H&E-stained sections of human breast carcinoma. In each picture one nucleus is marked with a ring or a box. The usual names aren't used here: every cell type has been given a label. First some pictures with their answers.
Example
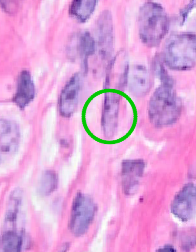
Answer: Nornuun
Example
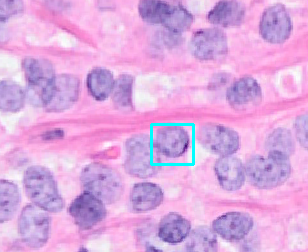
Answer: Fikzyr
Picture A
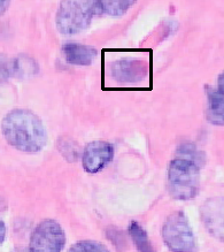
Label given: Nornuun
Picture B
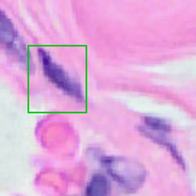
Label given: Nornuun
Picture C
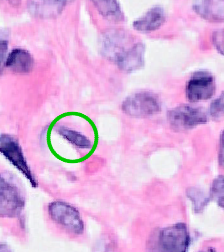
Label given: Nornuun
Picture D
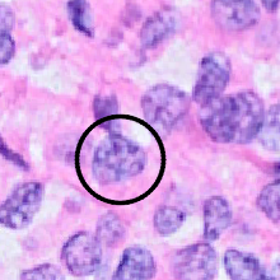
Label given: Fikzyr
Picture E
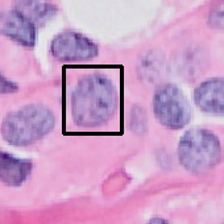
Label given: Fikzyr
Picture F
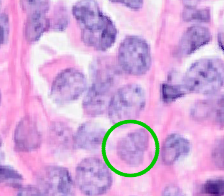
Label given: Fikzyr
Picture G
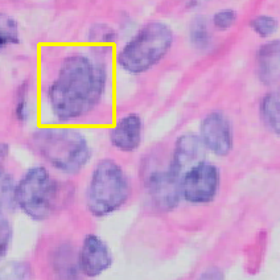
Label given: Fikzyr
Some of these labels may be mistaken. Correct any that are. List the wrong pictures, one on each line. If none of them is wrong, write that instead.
Every label is right.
